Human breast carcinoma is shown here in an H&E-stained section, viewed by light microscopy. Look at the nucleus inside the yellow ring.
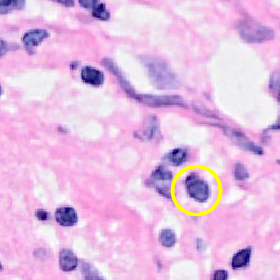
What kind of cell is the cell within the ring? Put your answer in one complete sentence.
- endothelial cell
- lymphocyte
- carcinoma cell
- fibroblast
It is as a lymphocyte that the cell within the ring is recorded.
